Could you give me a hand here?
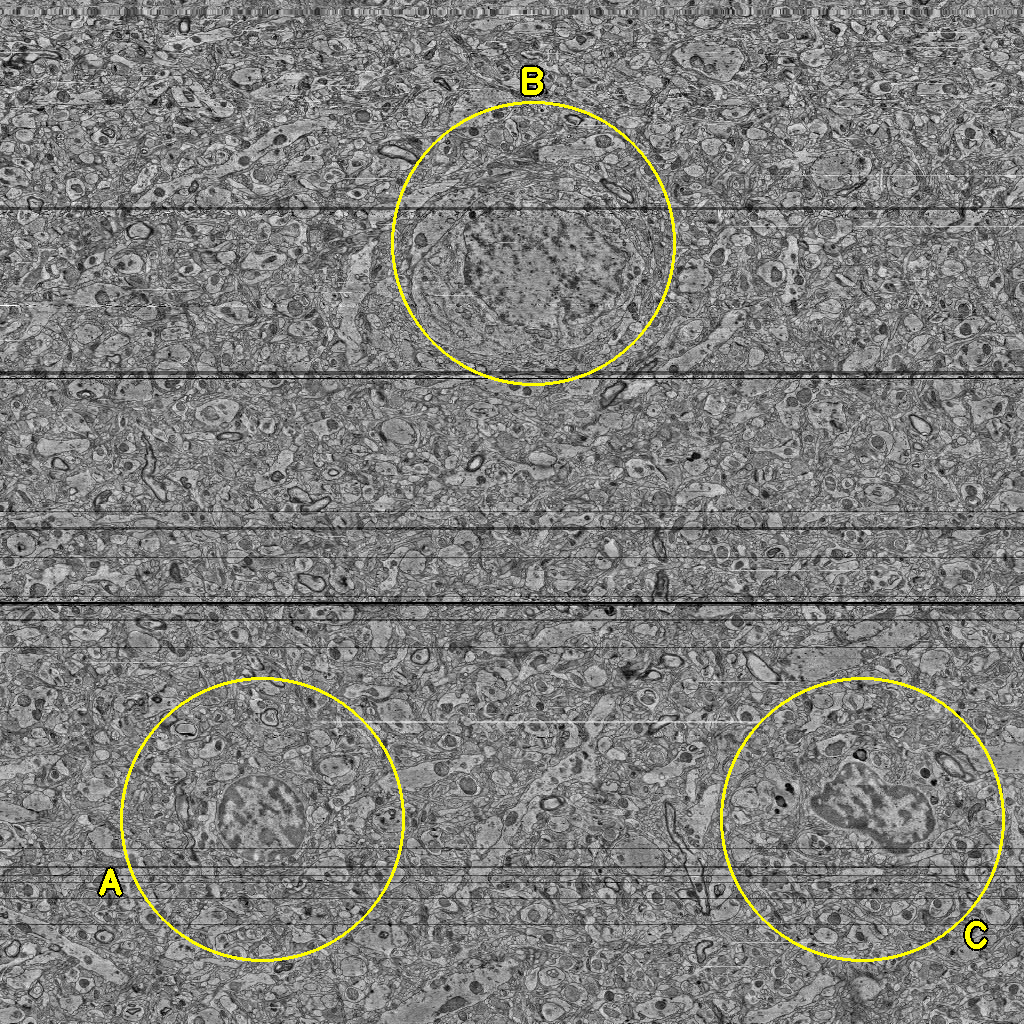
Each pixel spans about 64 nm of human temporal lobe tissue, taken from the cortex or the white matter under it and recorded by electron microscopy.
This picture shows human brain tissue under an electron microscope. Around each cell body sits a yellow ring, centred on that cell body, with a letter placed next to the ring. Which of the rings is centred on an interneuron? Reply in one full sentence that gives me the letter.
The cell asked for sits at the centre of ring B in the picture.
